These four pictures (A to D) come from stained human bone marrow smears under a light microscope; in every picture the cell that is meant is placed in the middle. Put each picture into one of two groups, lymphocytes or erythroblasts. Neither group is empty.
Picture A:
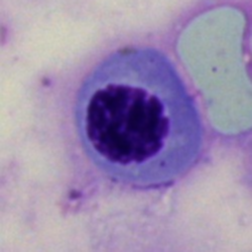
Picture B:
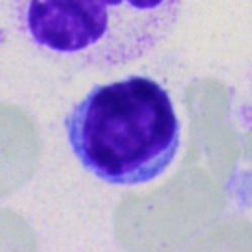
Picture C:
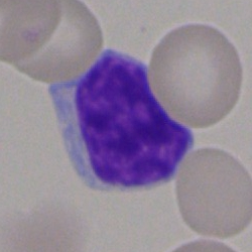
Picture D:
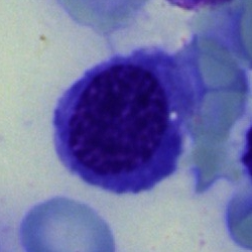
A: erythroblast
B: lymphocyte
C: lymphocyte
D: erythroblast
